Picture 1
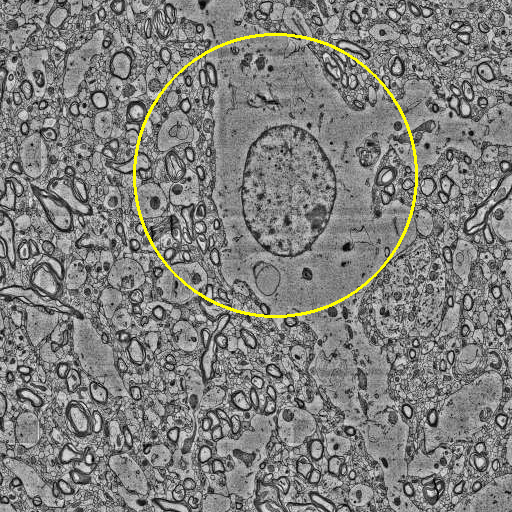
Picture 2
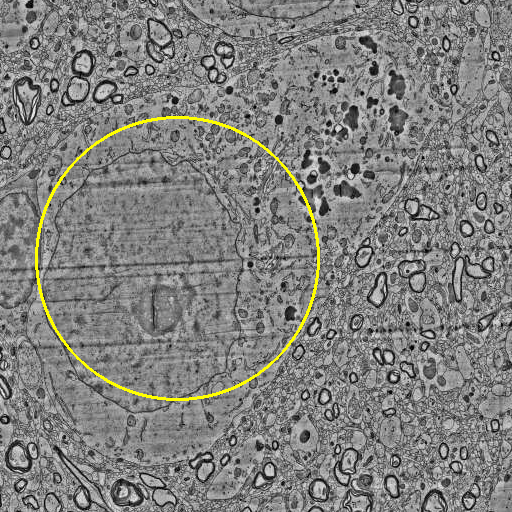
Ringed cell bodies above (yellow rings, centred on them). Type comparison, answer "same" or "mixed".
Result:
mixed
